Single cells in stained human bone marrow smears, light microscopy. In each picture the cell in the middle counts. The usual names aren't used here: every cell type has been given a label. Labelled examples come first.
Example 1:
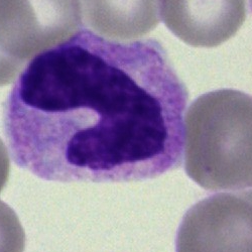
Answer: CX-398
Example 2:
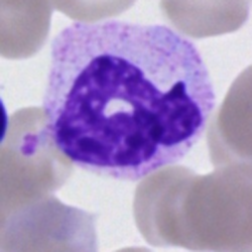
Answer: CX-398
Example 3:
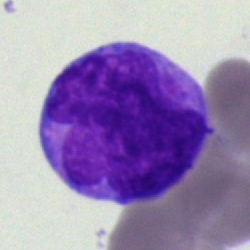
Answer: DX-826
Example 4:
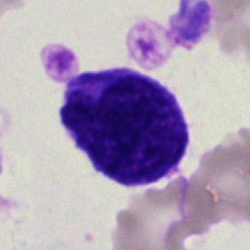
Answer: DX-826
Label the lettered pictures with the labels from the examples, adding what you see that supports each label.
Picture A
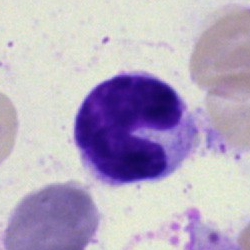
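Label: CX-398. The chromatin is dense, dark purple and coarsely clumped.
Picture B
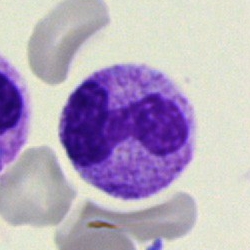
Label: CX-398. The nuclear chromatin is dark purple and coarsely clumped.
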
